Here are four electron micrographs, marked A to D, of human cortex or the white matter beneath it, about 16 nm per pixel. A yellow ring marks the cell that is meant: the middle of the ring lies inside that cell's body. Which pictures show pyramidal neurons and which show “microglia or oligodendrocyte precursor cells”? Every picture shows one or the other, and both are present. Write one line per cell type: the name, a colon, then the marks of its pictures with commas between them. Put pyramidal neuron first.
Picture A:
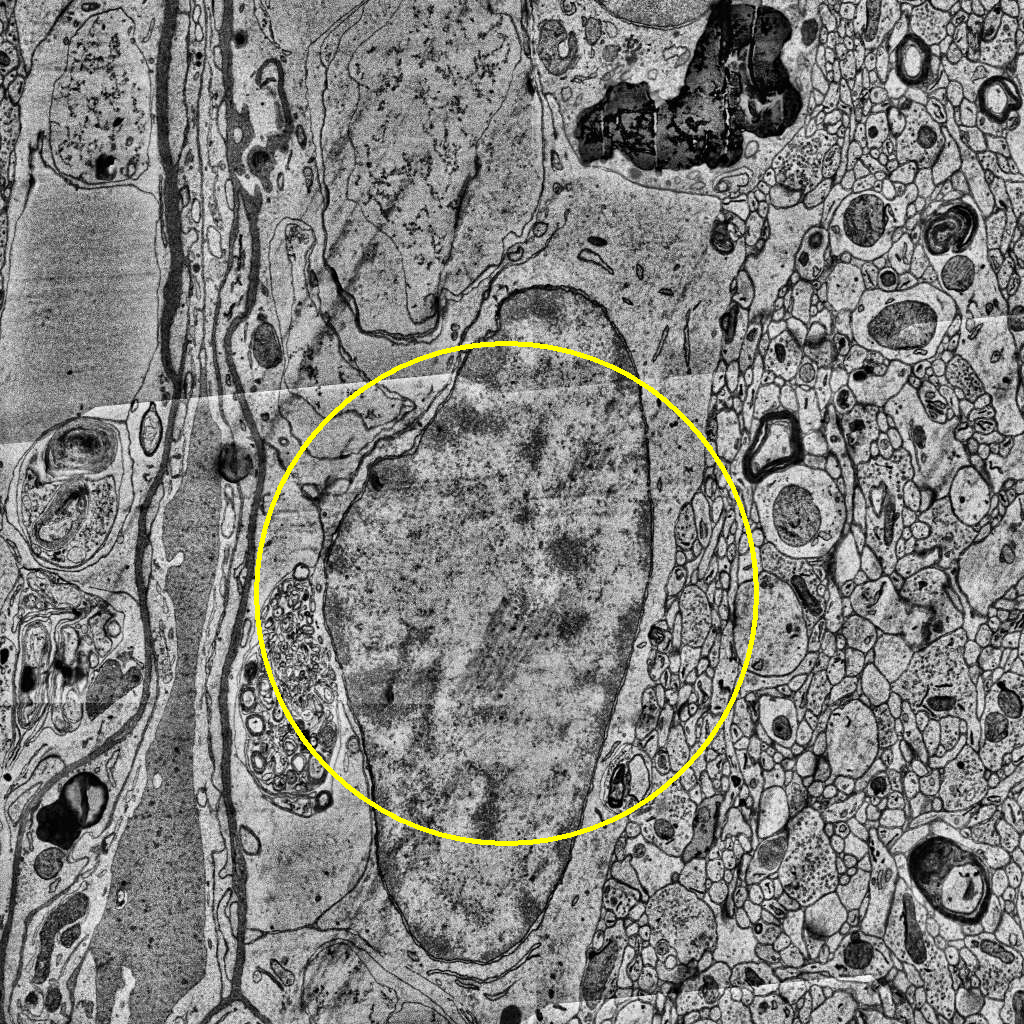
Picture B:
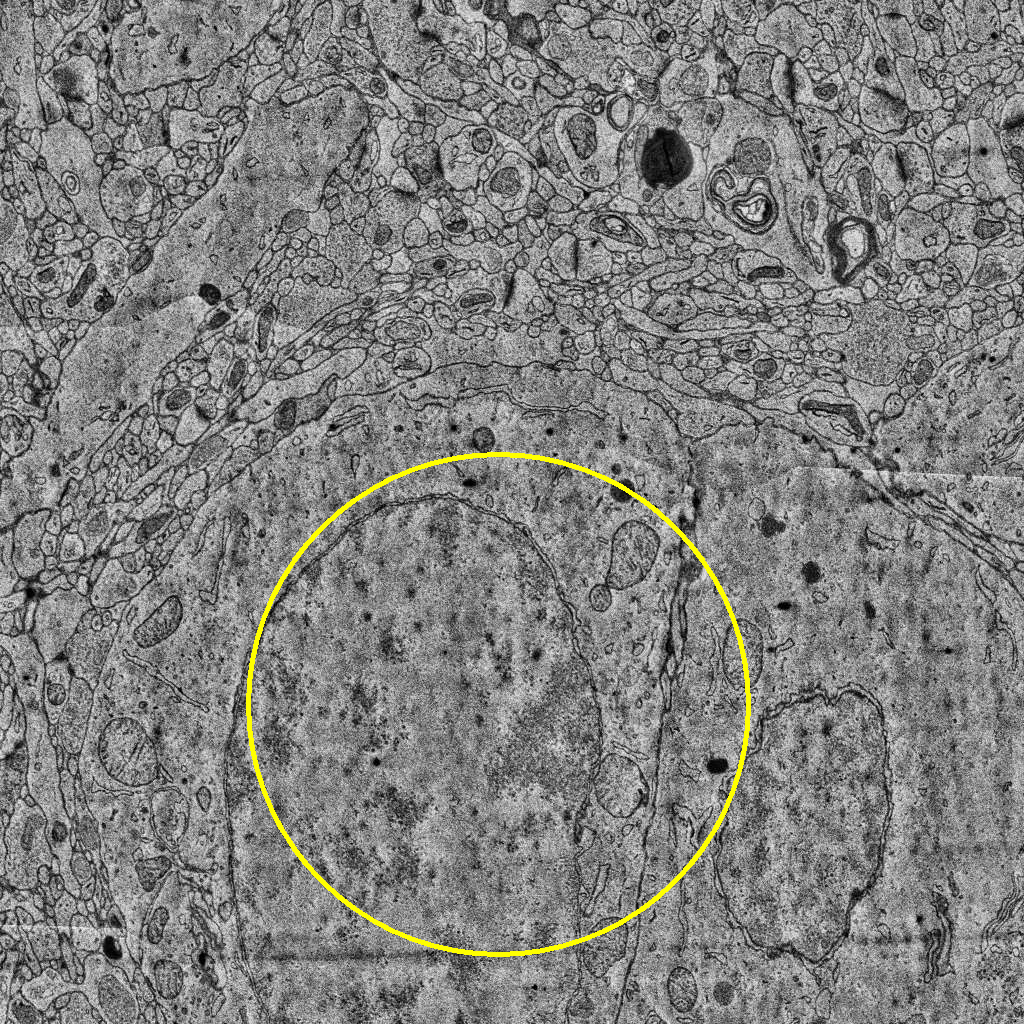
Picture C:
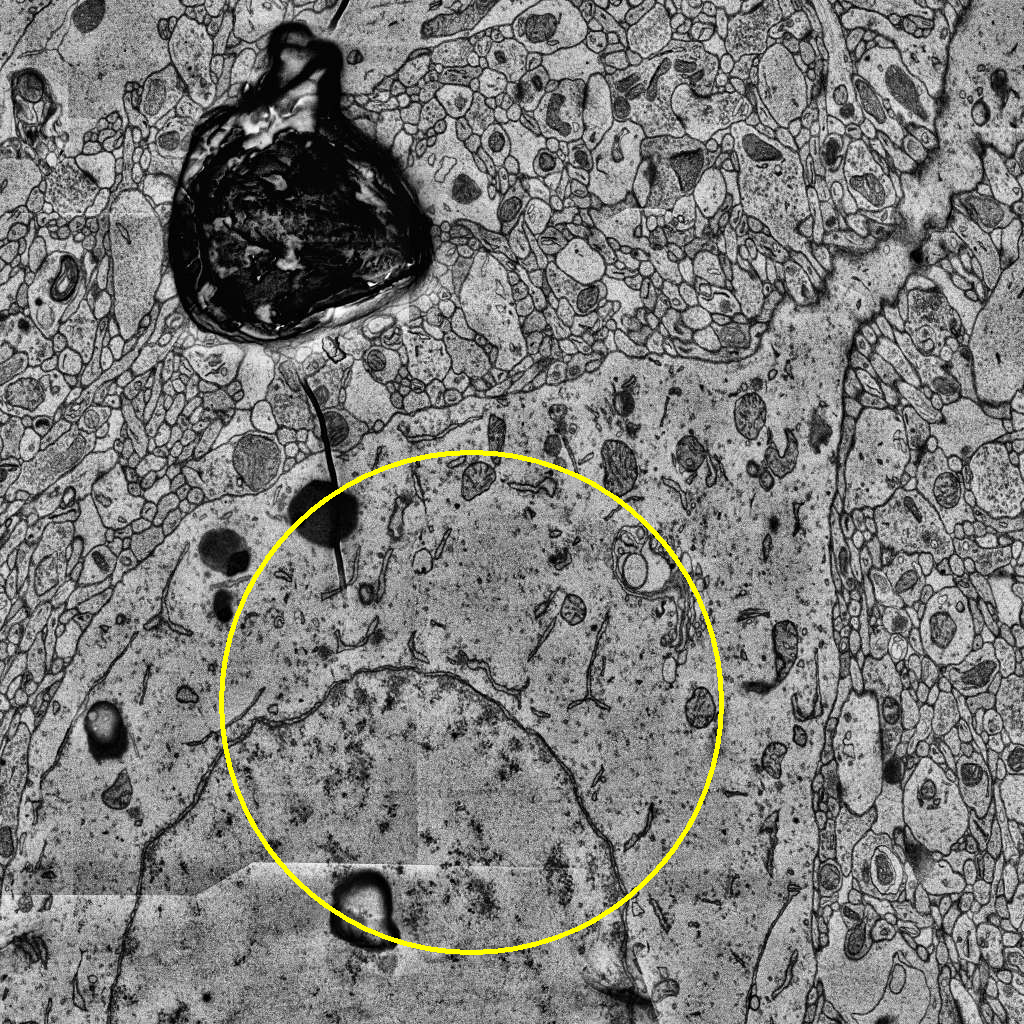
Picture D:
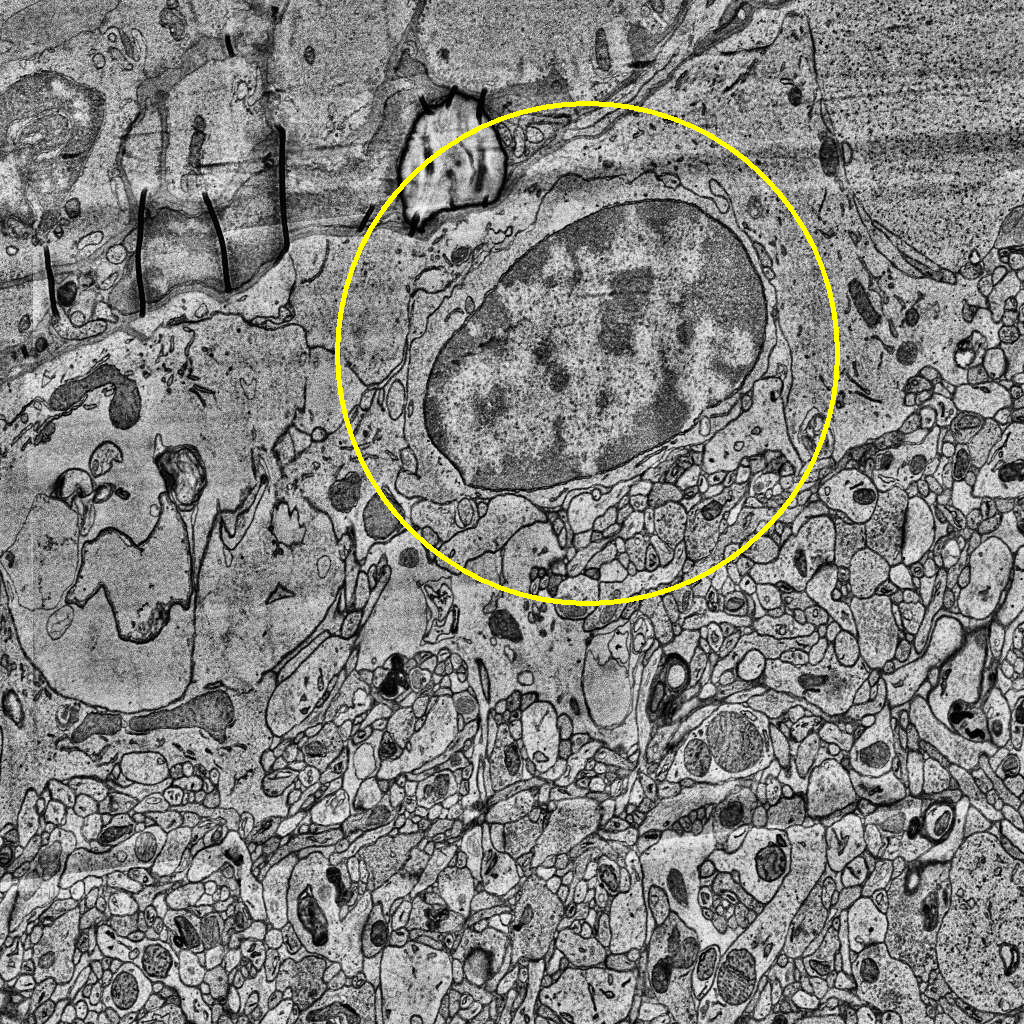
pyramidal neuron: B, C
microglia or oligodendrocyte precursor cell: A, D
